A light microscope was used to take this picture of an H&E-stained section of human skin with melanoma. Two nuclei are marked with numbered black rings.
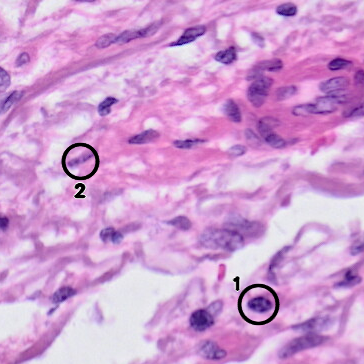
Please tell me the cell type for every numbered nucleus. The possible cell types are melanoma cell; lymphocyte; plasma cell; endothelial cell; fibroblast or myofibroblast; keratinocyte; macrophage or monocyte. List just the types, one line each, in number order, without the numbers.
plasma cell
fibroblast or myofibroblast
